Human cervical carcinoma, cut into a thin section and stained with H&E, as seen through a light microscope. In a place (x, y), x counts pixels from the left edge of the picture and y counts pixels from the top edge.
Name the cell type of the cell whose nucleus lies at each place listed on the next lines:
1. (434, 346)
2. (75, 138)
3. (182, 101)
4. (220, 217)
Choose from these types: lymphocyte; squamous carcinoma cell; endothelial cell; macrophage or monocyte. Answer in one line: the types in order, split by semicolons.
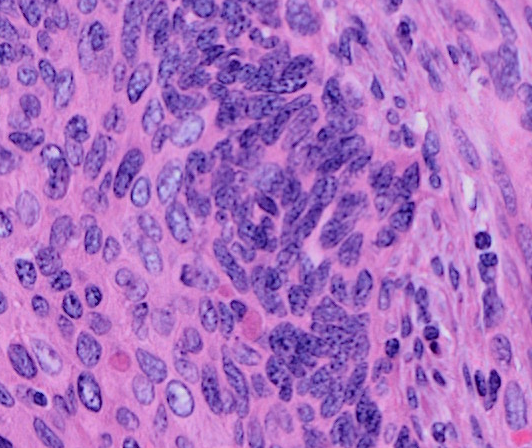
lymphocyte; squamous carcinoma cell; squamous carcinoma cell; squamous carcinoma cell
